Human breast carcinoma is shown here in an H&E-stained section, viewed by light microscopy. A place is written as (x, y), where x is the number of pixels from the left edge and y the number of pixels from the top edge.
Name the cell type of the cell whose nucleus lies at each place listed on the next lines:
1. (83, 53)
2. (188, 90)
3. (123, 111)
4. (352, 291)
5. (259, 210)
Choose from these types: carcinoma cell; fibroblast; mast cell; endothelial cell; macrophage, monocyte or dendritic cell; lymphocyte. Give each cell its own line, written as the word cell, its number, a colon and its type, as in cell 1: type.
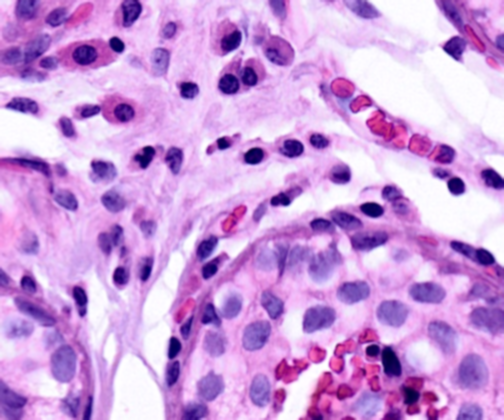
cell 1: mast cell
cell 2: lymphocyte
cell 3: mast cell
cell 4: carcinoma cell
cell 5: endothelial cell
